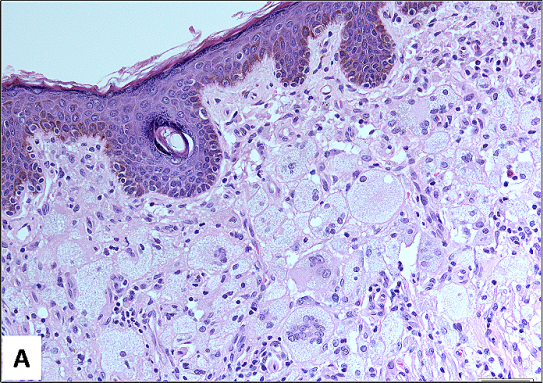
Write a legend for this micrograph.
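A stratified squamous epidermis with pigmented basal layer overlies a dermis packed with large rounded cells whose pale pink cytoplasm is finely bubbly and foamy. These are foamy histiocytes, lying in sheets with small nuclei and scattered smaller inflammatory cells between them. Several very large cells carry a cluster of nuclei arranged in a ring around a central pinker cytoplasm, the look of multinucleated giant cells. A cross-section of a hair shaft sits within the epidermis at the upper left.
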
